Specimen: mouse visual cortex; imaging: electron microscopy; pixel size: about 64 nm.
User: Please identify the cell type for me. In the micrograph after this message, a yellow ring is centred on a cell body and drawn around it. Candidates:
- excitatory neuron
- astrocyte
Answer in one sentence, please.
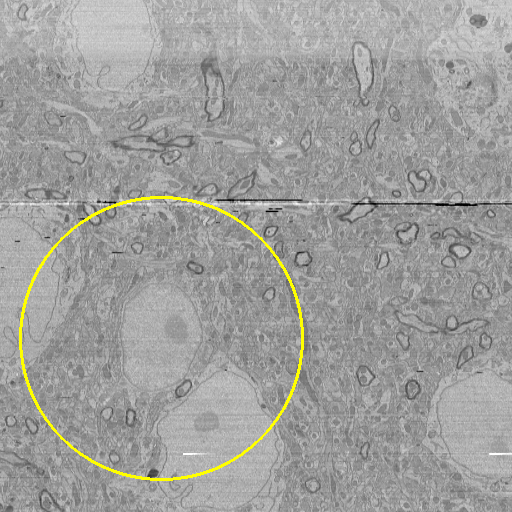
The ring is drawn around the cell body of an astrocyte.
